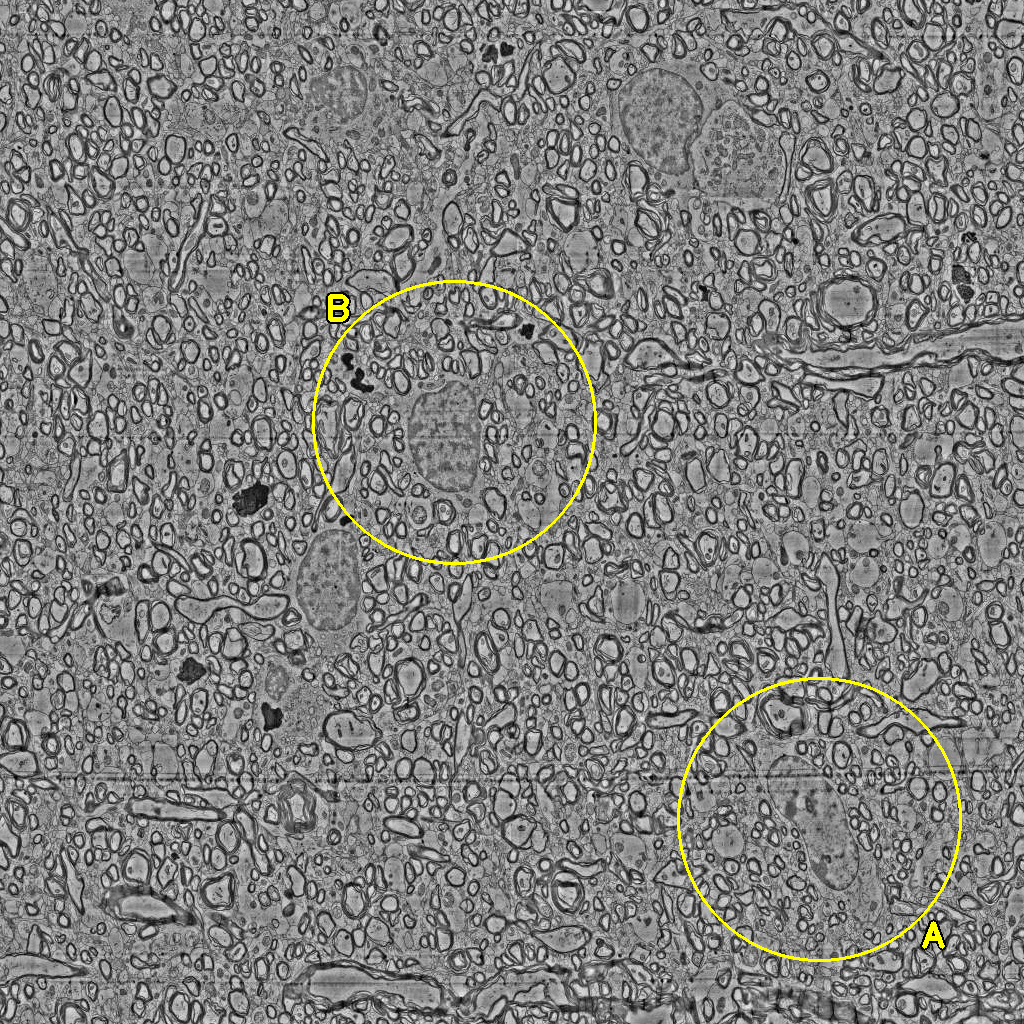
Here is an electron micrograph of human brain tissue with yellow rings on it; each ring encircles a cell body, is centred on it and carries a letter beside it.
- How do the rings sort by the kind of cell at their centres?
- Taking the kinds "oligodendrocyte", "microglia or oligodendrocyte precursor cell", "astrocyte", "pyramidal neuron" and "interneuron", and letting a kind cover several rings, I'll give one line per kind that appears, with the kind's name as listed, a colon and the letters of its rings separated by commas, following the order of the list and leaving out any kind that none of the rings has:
oligodendrocyte: B
microglia or oligodendrocyte precursor cell: A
